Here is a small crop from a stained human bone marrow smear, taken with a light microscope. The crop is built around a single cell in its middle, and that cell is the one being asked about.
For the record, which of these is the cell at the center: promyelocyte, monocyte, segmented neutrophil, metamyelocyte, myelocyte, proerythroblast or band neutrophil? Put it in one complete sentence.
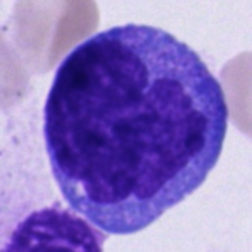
Answering briefly, the cell in the middle is a monocyte.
